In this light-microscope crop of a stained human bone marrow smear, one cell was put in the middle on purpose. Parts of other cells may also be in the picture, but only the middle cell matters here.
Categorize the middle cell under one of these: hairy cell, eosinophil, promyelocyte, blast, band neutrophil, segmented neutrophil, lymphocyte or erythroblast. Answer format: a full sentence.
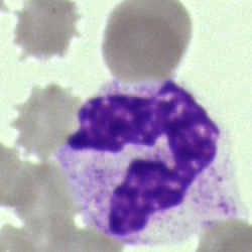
Here the cell in the middle is a segmented neutrophil.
